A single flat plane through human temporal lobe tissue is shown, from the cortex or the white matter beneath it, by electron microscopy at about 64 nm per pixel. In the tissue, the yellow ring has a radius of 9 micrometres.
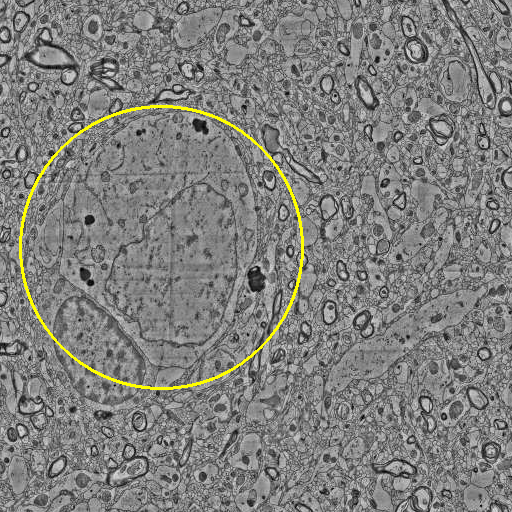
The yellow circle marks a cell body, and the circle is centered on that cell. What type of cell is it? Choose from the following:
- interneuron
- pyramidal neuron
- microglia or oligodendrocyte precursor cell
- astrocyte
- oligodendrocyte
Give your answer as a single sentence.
This cell body belongs to a pyramidal neuron.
